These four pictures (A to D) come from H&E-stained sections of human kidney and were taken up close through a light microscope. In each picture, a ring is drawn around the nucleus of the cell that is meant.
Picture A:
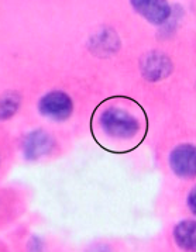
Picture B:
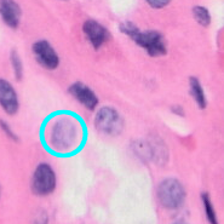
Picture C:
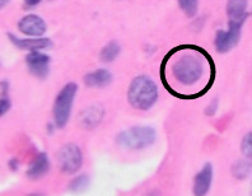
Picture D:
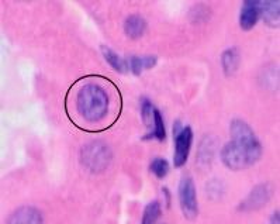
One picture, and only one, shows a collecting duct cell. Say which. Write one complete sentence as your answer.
The cell in picture B is the collecting duct cell.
